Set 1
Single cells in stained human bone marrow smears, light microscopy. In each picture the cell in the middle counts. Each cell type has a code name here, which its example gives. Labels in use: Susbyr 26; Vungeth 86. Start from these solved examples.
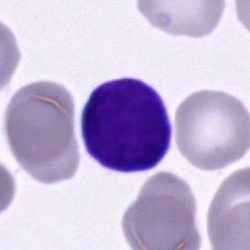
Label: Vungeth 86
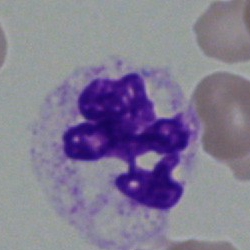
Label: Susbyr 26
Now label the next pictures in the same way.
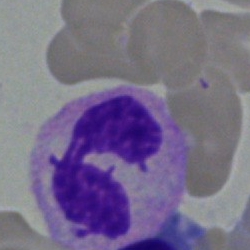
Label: Susbyr 26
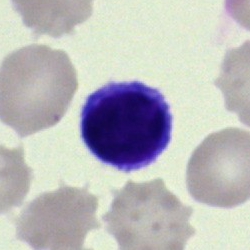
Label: Vungeth 86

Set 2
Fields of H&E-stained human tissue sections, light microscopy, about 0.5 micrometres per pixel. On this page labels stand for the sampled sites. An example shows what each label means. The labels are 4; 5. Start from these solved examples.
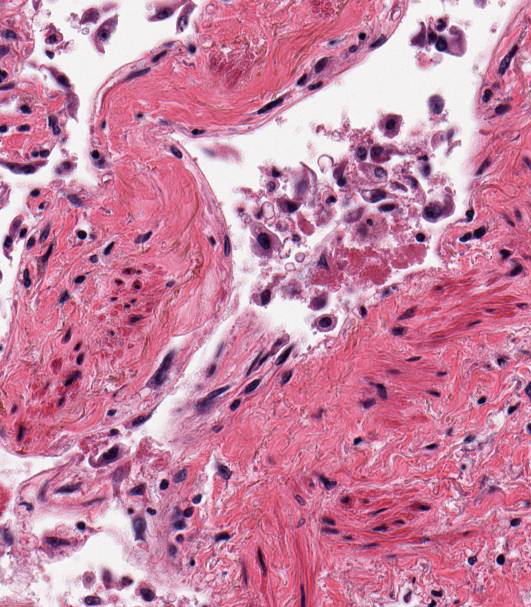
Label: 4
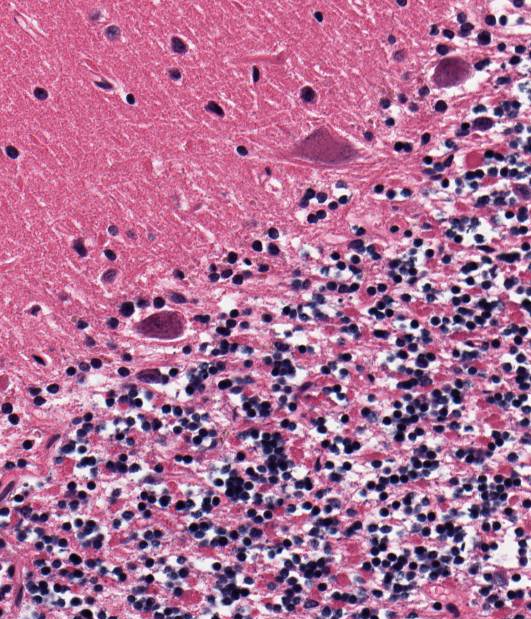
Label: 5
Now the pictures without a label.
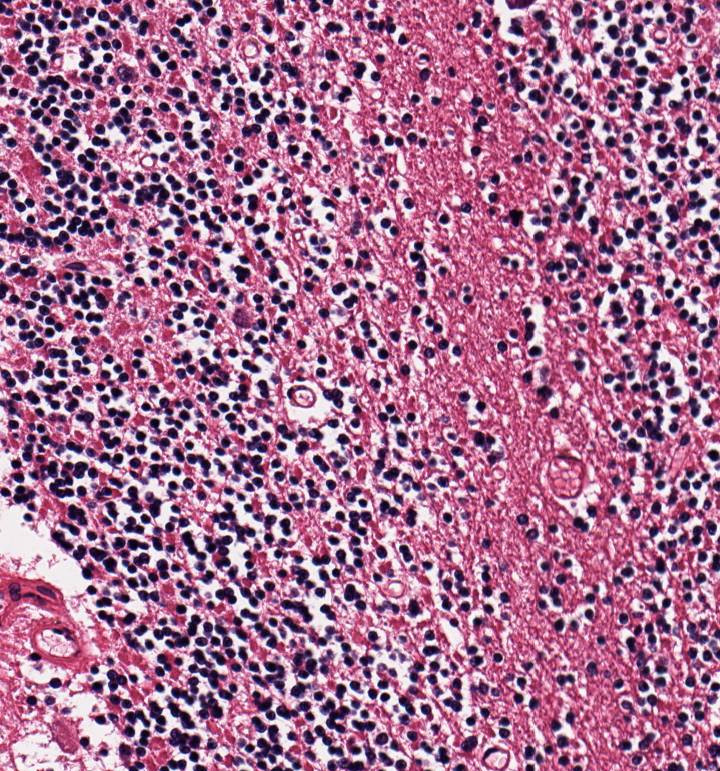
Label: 5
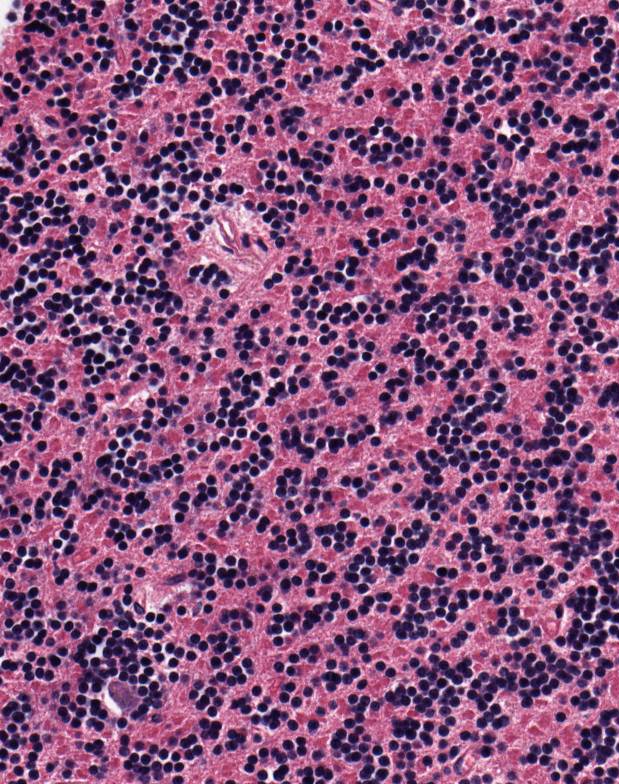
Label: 5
